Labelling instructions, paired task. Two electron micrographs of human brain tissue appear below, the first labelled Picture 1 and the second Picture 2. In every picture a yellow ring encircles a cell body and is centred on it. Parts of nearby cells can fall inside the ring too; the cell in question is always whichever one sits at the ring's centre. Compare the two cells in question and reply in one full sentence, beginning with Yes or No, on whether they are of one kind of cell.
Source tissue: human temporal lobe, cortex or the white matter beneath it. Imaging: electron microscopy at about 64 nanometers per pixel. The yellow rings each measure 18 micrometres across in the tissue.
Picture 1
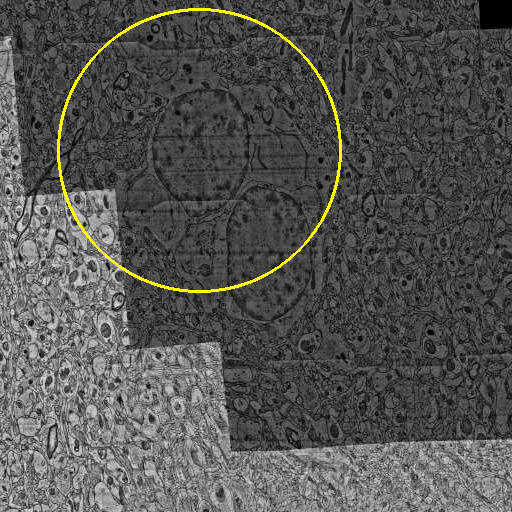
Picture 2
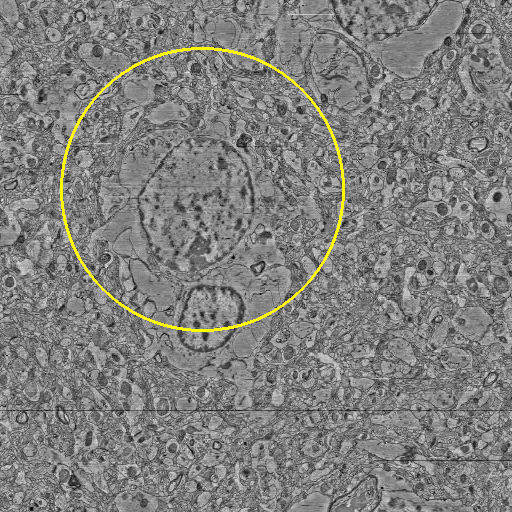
Yes, the two cells at the ring centres in Picture 1 and Picture 2 are of one kind.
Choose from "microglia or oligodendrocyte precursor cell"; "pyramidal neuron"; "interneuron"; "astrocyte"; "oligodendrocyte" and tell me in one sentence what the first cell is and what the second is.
Both rings mark an astrocyte, one in each picture.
